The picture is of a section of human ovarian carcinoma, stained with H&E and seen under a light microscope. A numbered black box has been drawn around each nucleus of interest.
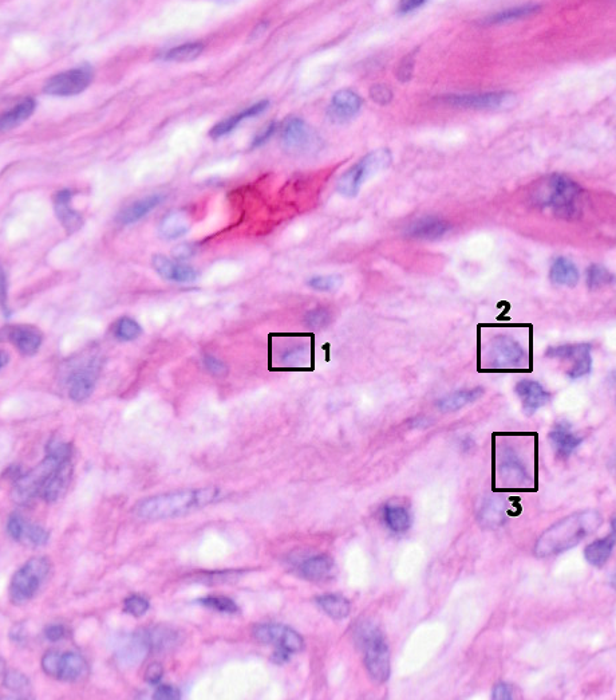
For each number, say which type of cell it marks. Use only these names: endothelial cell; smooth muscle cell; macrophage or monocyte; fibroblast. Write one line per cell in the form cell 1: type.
cell 1: smooth muscle cell
cell 2: fibroblast
cell 3: fibroblast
